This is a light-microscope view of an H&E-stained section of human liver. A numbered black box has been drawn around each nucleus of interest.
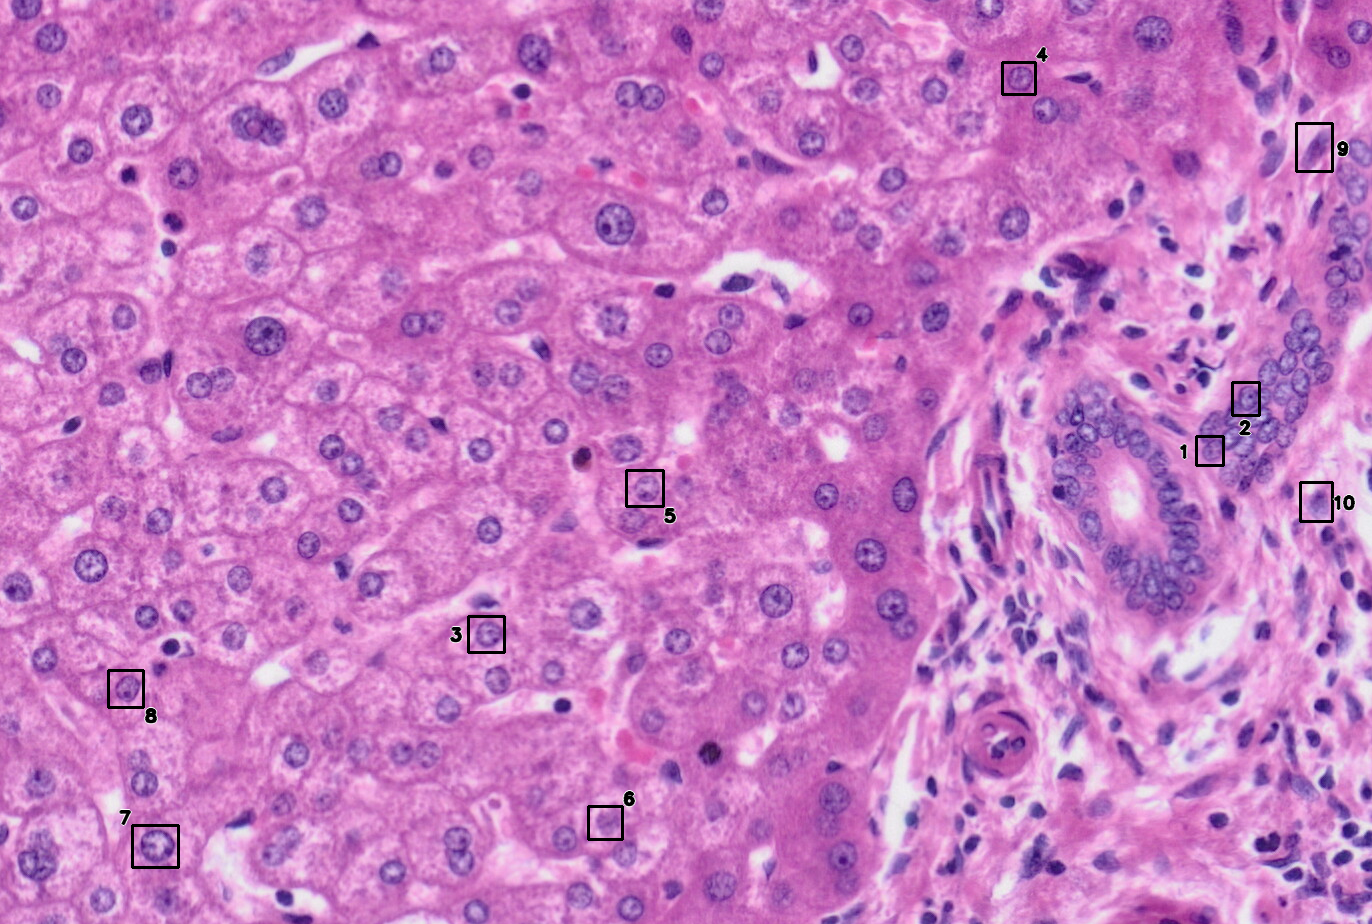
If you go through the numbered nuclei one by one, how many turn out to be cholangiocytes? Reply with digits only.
2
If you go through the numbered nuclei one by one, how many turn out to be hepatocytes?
6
